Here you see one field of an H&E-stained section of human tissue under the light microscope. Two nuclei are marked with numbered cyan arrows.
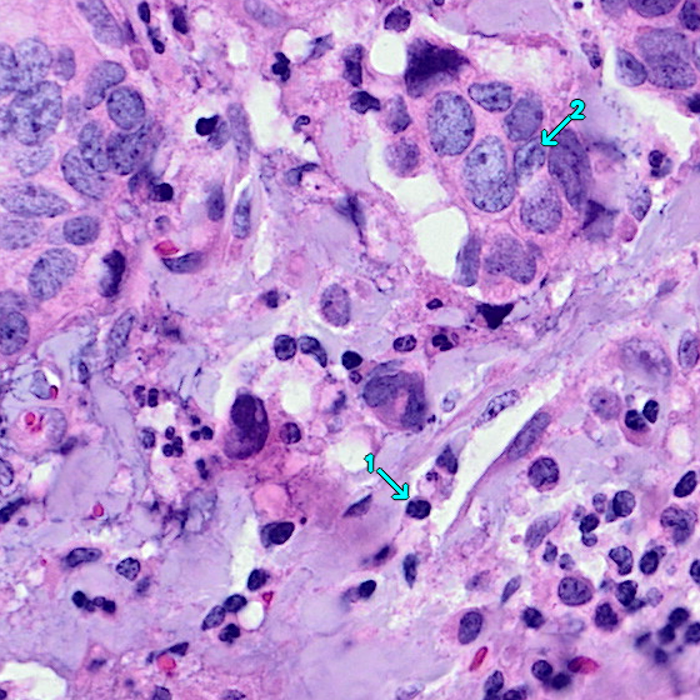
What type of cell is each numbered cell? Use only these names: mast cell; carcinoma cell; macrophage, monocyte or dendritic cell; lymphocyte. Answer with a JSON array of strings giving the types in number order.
["lymphocyte", "carcinoma cell"]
